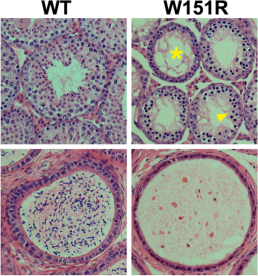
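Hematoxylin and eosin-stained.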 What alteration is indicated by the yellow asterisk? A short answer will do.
Vacuolated seminiferous.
